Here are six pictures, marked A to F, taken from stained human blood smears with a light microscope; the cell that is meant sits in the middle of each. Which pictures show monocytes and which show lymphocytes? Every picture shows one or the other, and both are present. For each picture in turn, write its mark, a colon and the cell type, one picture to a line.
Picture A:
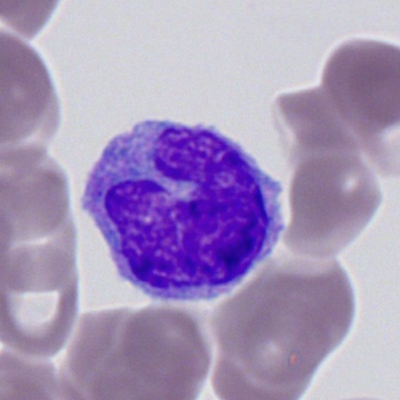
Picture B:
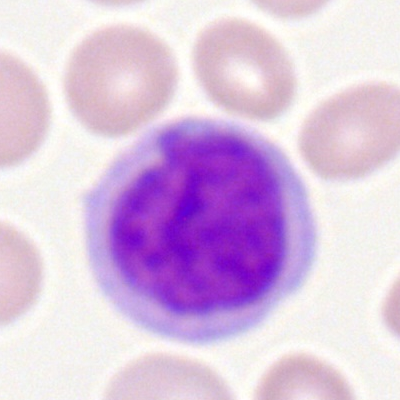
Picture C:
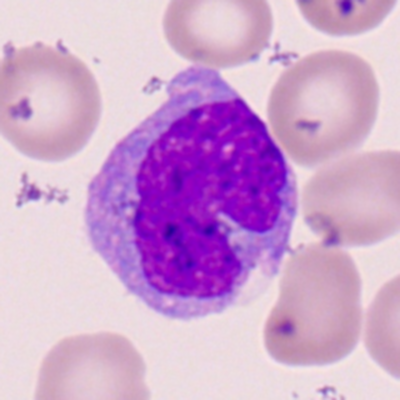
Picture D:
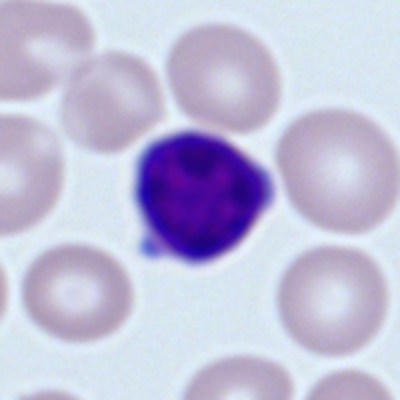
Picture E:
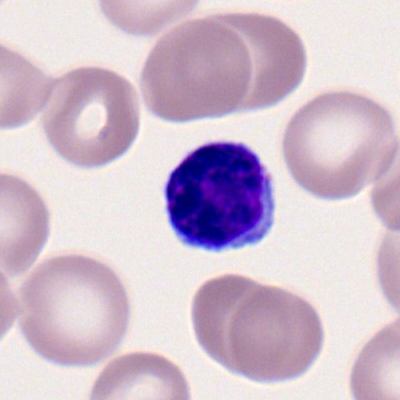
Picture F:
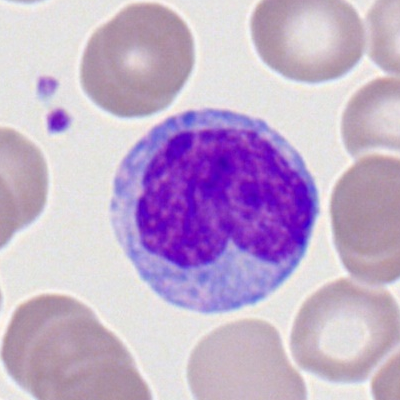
A: monocyte
B: monocyte
C: monocyte
D: lymphocyte
E: lymphocyte
F: monocyte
